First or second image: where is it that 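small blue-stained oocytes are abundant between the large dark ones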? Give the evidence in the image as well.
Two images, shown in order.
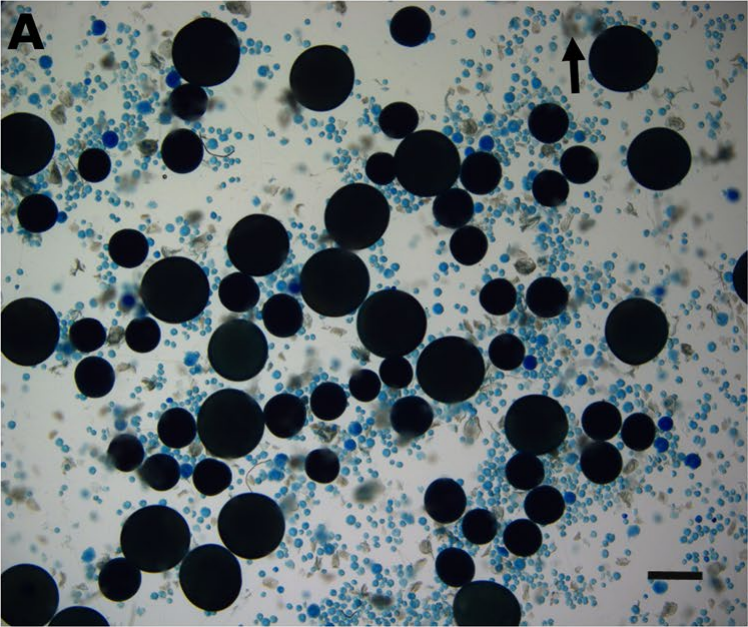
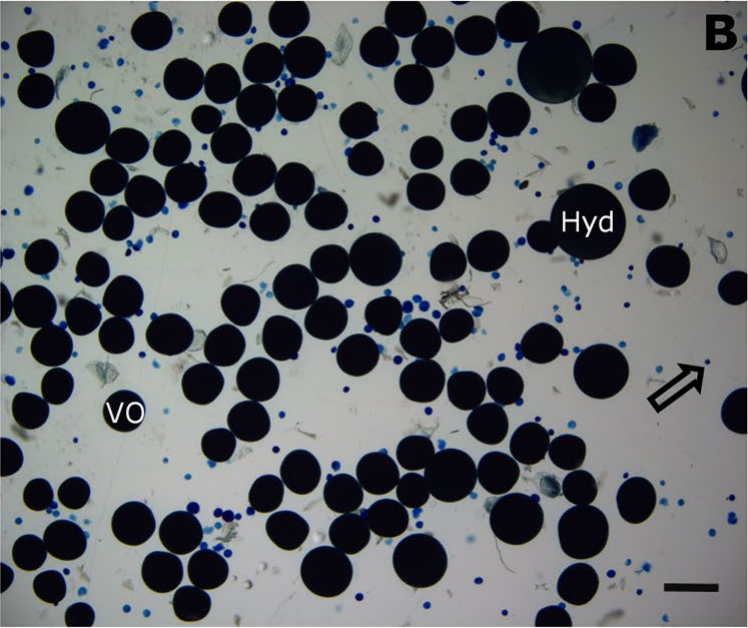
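The first image. Second image: only scattered small dark-blue dots lie between the large black spheres. First image: hundreds of small light-blue spheres crowd the spaces between the large black spheres.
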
